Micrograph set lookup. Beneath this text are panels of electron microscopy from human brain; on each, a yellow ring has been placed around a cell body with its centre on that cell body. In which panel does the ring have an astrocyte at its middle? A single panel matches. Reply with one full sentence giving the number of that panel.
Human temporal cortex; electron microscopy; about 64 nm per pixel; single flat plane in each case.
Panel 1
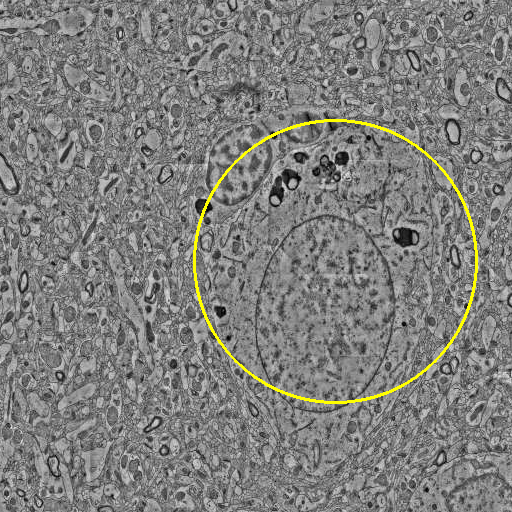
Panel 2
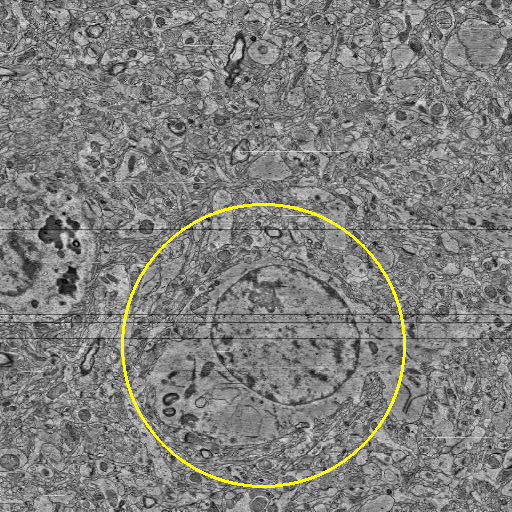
Panel 2 is the one whose ring has the sought cell at its centre.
